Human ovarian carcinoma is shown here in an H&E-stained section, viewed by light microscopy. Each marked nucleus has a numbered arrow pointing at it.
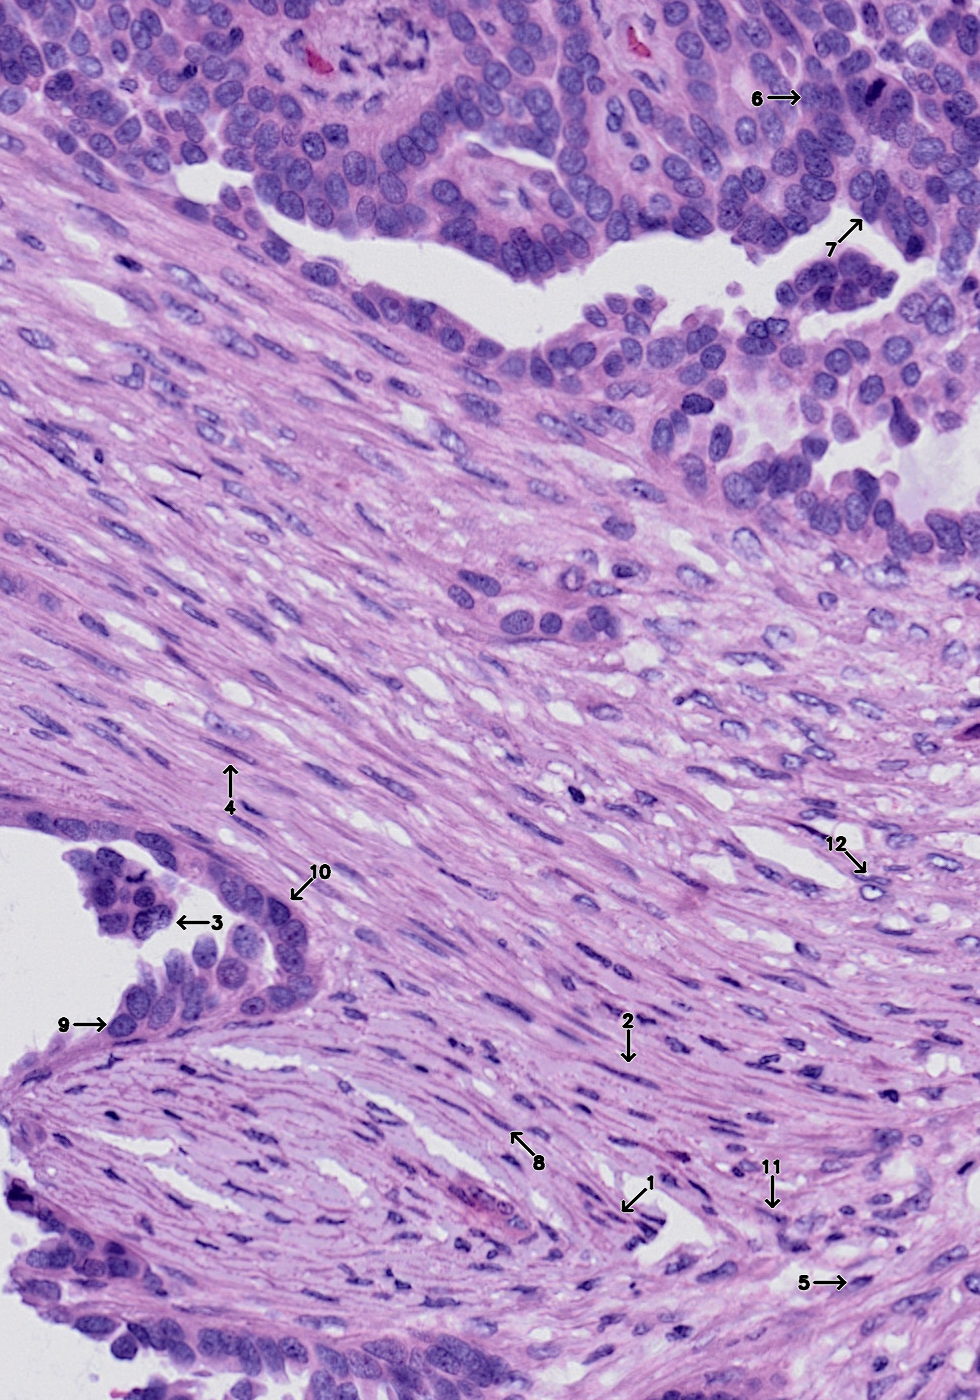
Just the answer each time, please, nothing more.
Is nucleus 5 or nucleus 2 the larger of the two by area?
2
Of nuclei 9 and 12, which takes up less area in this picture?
12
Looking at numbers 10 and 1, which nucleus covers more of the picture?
10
